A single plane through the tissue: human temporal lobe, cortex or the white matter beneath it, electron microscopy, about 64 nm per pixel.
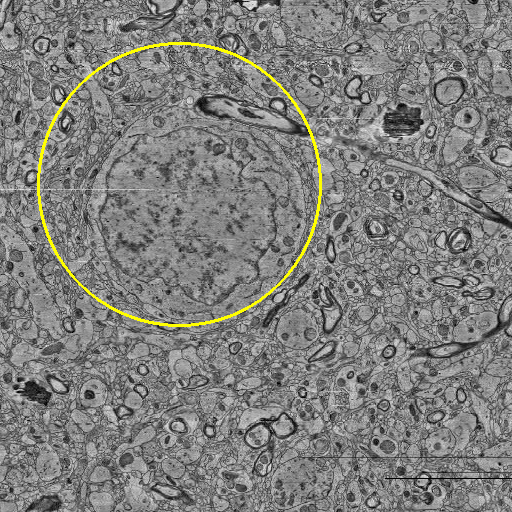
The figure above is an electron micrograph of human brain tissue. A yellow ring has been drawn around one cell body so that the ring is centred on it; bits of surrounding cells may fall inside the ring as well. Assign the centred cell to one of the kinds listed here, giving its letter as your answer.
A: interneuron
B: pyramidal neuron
A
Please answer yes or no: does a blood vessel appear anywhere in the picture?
No, none shows.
